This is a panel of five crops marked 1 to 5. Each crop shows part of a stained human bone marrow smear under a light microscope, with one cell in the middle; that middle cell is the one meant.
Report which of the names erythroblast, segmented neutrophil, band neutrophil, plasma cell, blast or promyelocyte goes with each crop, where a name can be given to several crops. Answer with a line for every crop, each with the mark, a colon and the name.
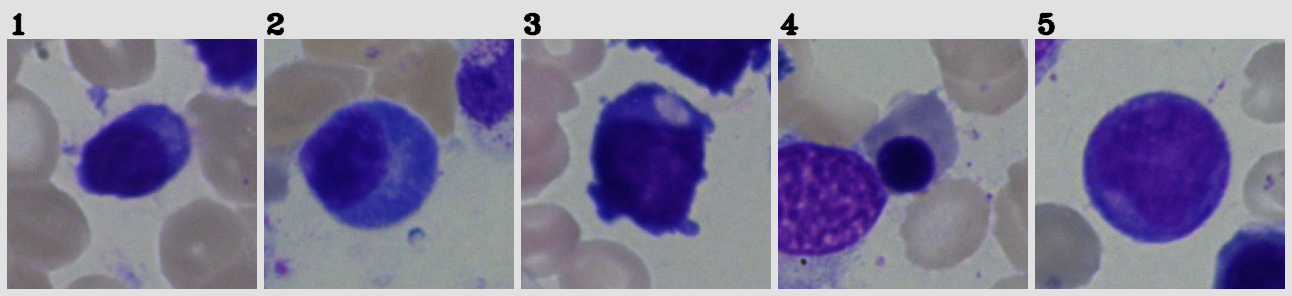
1: plasma cell
2: plasma cell
3: blast
4: erythroblast
5: blast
